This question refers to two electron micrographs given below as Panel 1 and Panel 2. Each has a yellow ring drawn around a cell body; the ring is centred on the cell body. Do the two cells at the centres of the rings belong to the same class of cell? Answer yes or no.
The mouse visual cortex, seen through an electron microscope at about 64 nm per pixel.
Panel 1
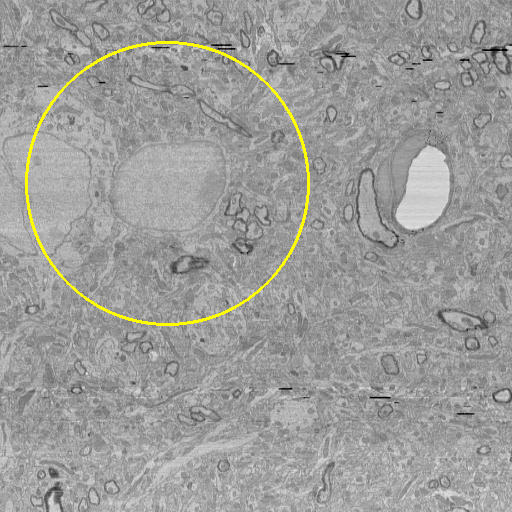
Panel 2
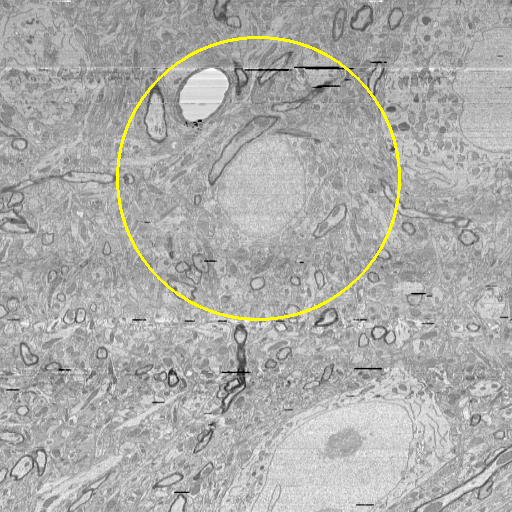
yes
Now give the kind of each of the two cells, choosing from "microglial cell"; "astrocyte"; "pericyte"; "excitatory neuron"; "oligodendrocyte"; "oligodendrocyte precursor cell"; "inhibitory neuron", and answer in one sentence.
Each of the two cells is an astrocyte.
